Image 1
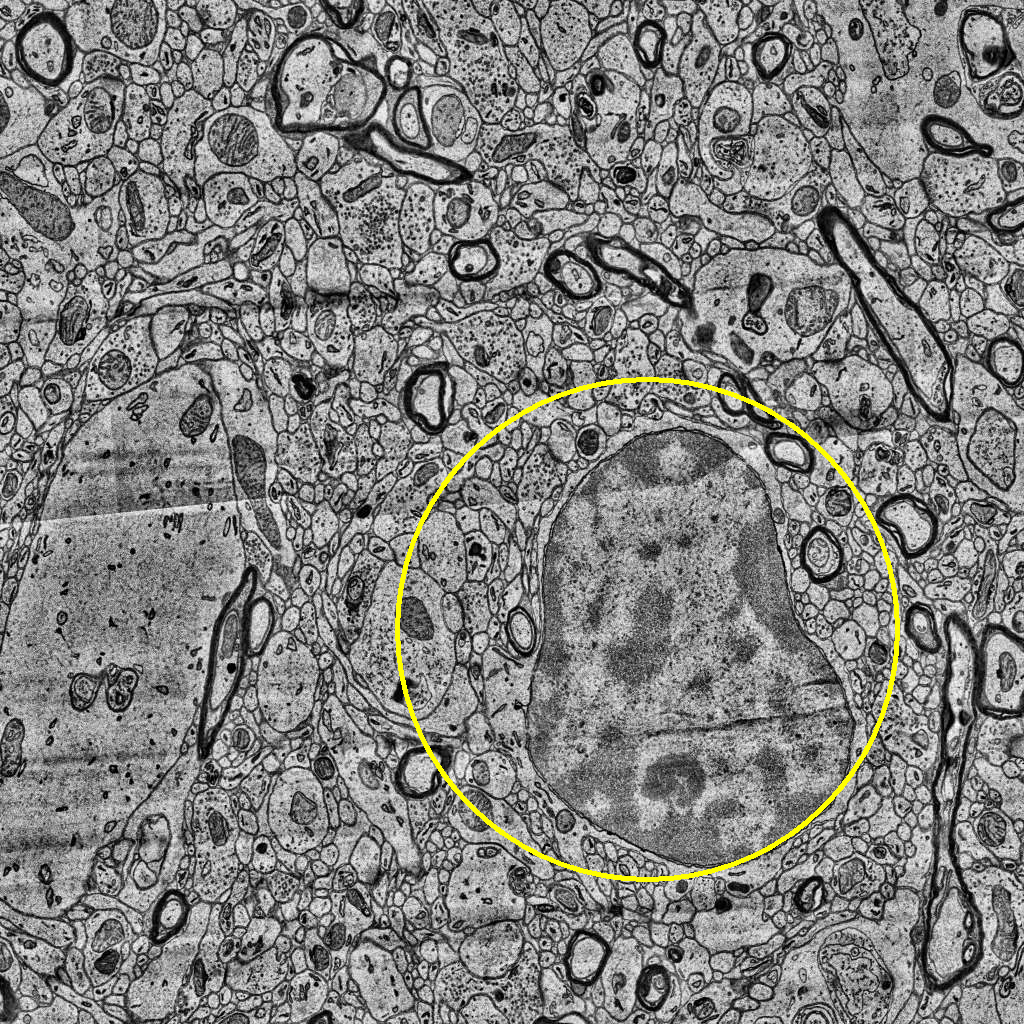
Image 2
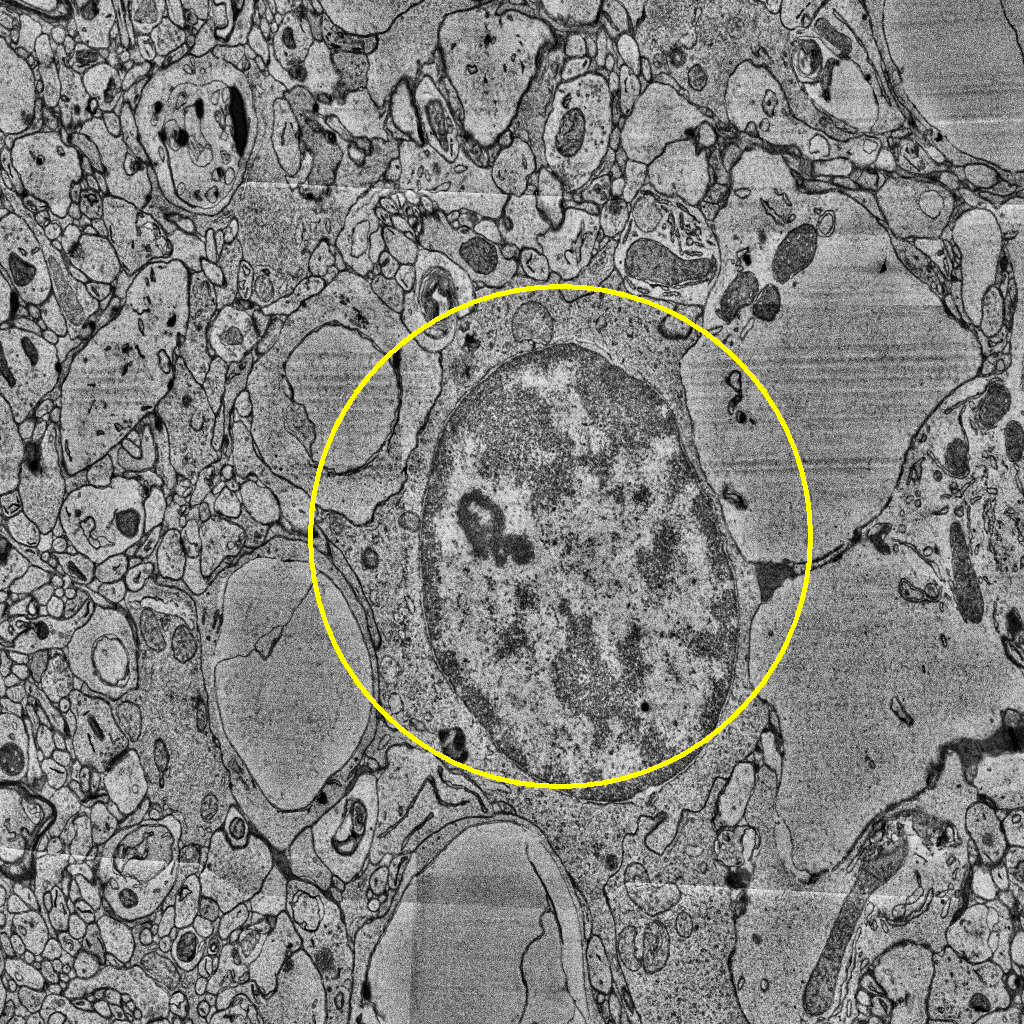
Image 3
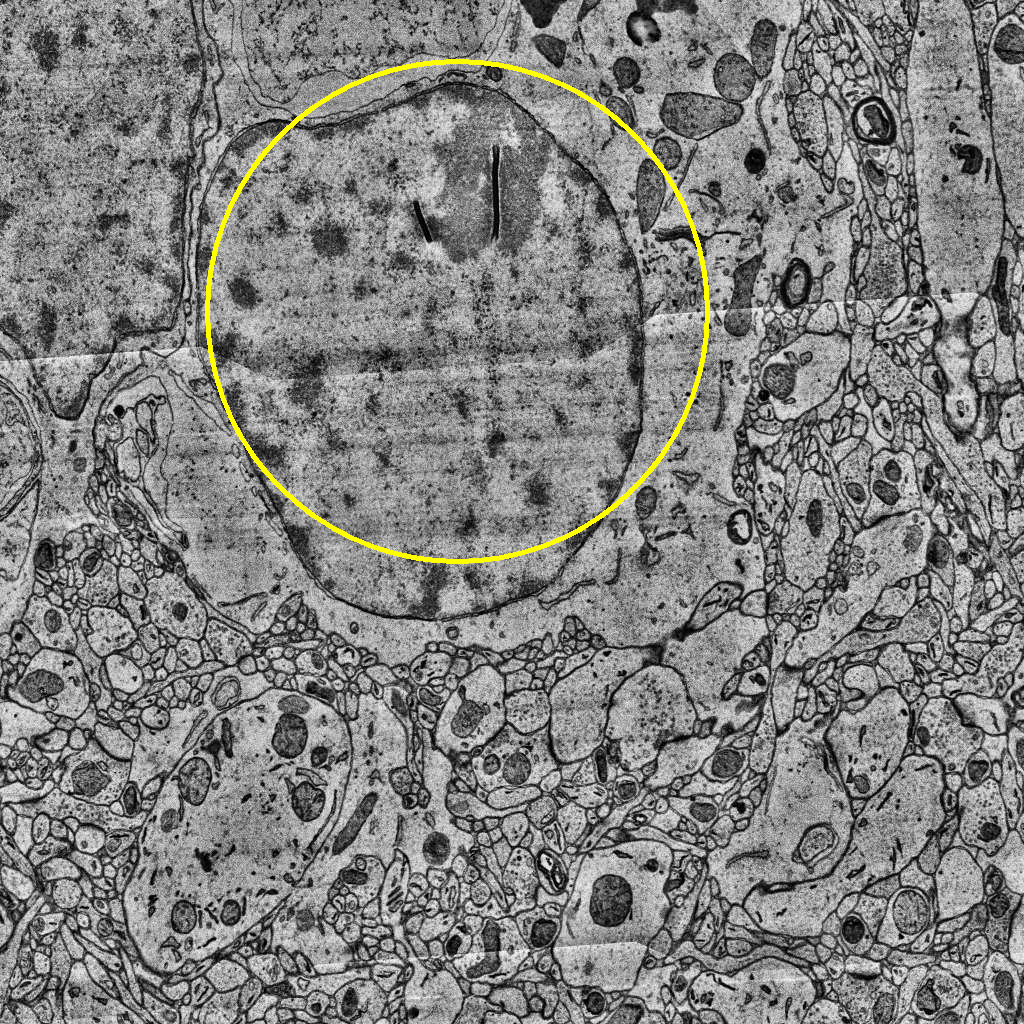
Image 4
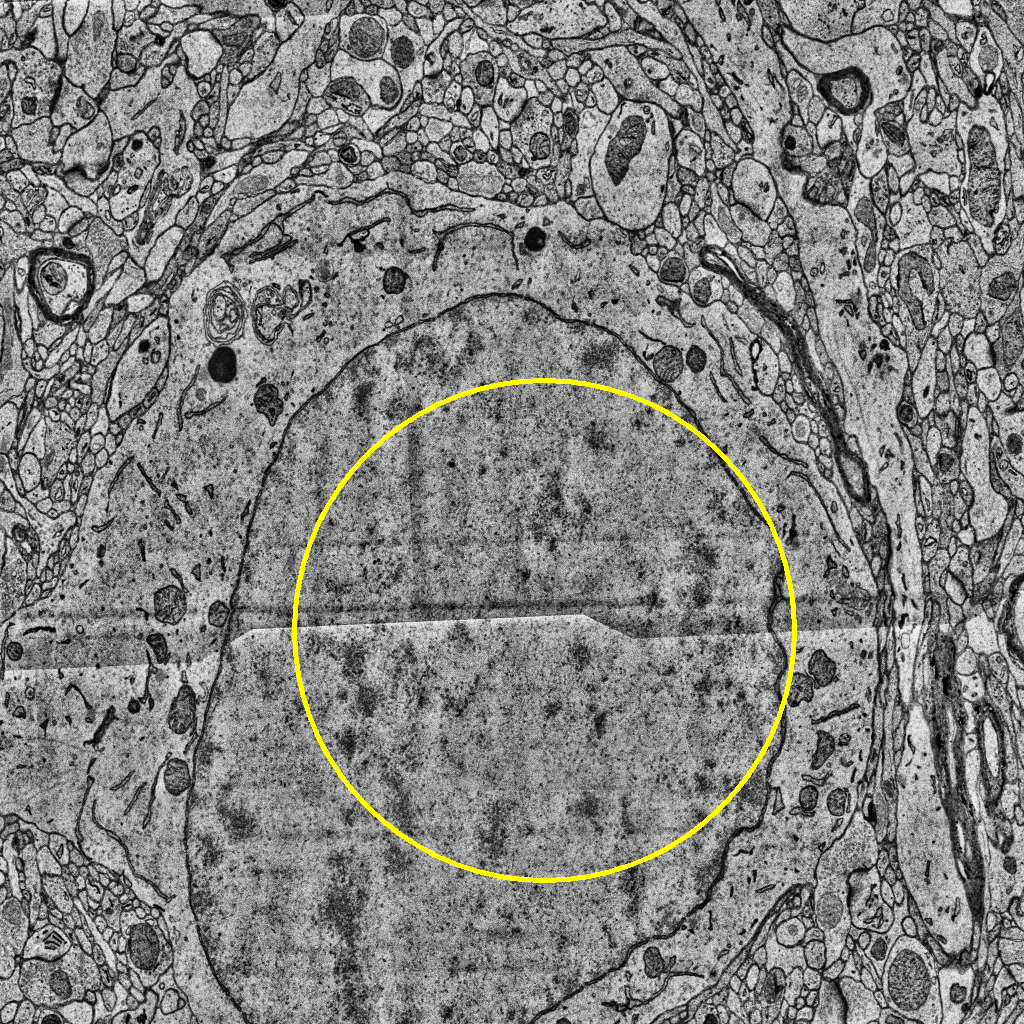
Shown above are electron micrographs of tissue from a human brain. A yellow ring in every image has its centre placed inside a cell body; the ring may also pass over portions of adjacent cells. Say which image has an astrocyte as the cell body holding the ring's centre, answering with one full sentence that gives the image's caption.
The image whose ring has its centre inside the requested cell is Image 3.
